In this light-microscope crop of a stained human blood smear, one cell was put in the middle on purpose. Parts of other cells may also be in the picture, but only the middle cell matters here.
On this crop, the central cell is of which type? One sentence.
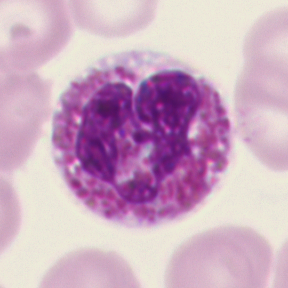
The central element of this crop is a cell, namely an eosinophil.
